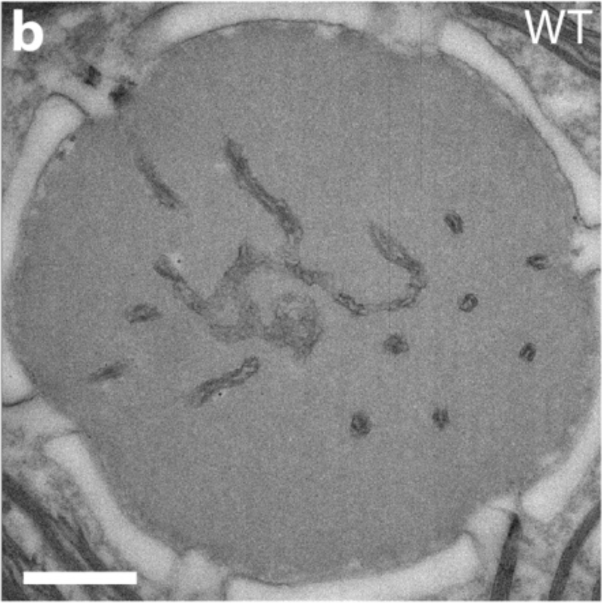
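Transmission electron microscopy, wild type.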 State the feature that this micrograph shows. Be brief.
pyrenoids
